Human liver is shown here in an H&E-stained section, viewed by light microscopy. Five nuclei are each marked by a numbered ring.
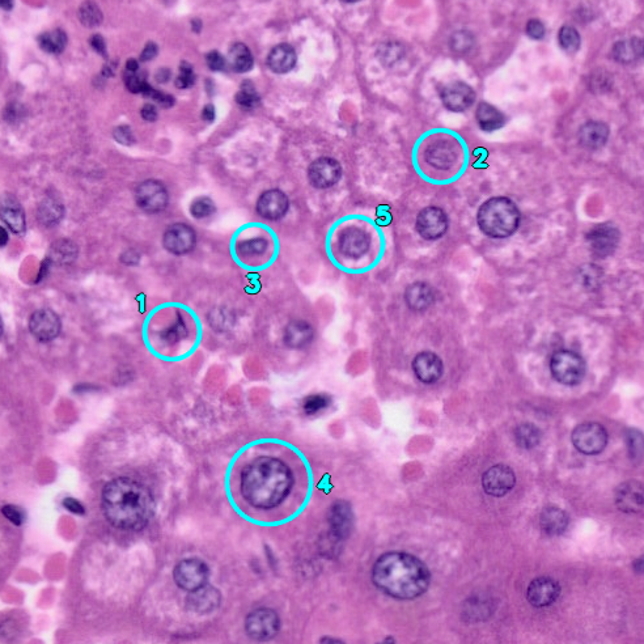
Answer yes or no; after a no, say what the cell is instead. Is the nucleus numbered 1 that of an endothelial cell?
Yes.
